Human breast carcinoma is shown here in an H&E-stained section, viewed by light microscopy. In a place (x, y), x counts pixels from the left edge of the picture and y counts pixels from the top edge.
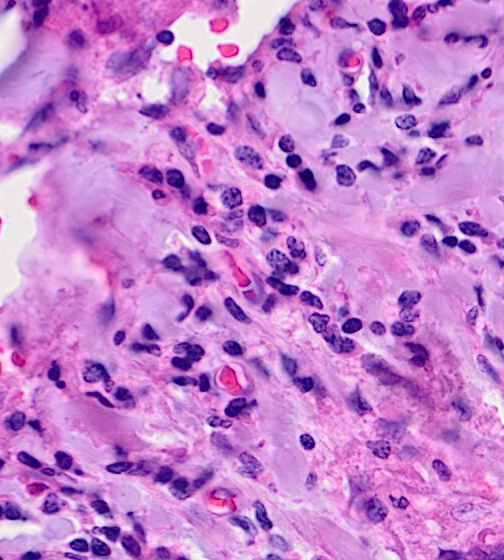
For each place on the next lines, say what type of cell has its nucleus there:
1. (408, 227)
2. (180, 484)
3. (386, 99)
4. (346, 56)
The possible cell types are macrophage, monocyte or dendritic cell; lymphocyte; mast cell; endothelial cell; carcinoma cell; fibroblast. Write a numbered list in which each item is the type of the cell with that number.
1. mast cell
2. lymphocyte
3. lymphocyte
4. endothelial cell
